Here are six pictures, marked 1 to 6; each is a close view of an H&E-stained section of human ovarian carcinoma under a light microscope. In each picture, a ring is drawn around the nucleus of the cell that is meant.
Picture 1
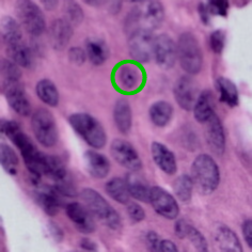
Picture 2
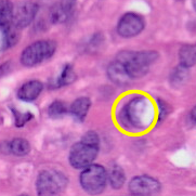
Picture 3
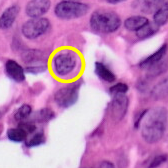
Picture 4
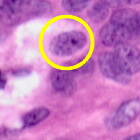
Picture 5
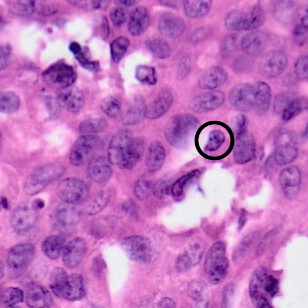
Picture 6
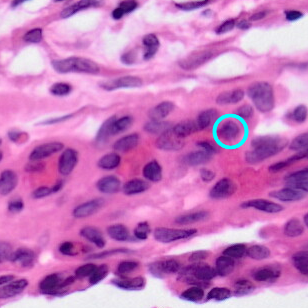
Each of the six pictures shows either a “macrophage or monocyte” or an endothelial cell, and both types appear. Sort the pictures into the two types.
1: endothelial cell
2: endothelial cell
3: macrophage or monocyte
4: macrophage or monocyte
5: macrophage or monocyte
6: endothelial cell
